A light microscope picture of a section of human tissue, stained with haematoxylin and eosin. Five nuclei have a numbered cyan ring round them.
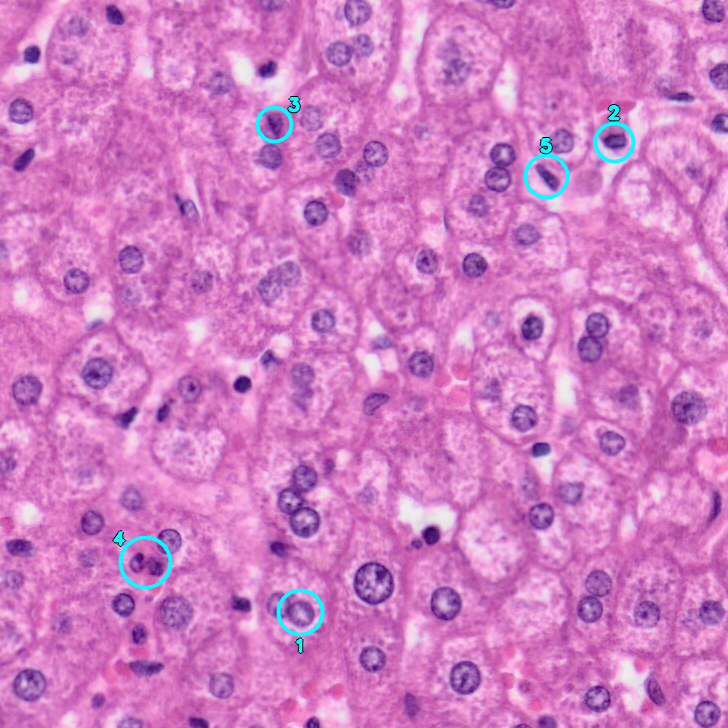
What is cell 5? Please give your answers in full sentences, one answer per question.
The cell carrying label 5 is identified as a lymphocyte.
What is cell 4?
Cell 4 in the field of view is a Kupffer cell.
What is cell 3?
Cell 3 of the marked set is a fibroblast or stellate cell.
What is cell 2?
The cell numbered 2 represents a Kupffer cell.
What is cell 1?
Belonging to a hepatocyte is the nucleus that carries the number 1.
